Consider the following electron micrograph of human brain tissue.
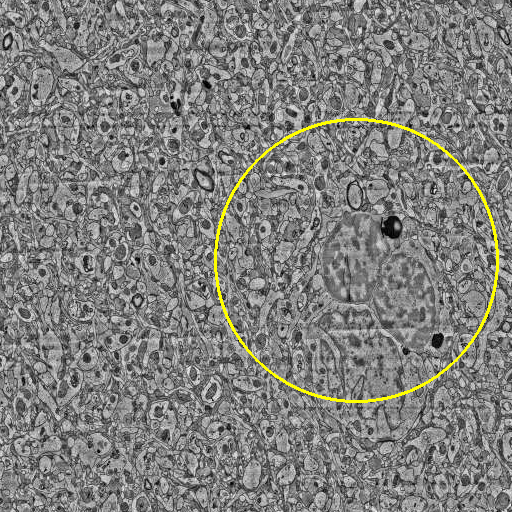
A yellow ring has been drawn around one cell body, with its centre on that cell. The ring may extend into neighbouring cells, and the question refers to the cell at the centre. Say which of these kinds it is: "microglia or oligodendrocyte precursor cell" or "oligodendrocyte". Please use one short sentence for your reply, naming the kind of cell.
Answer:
The centre of the ring falls on an oligodendrocyte.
